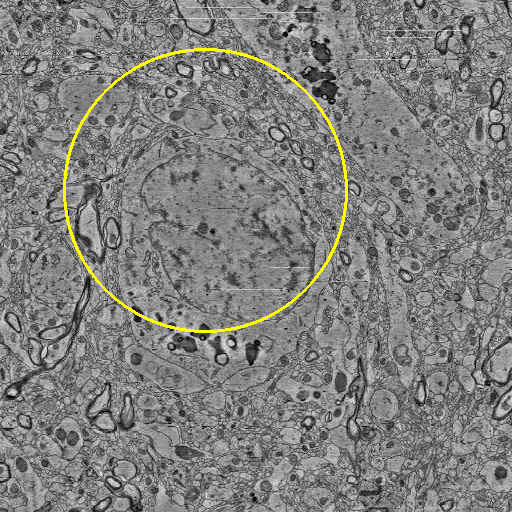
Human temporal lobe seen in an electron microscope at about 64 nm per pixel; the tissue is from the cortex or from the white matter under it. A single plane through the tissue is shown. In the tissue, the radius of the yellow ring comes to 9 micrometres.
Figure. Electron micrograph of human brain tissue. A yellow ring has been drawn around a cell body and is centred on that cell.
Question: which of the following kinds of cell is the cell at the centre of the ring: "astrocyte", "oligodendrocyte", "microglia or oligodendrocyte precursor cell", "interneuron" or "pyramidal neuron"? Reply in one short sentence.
The cell at the centre of the ring is an interneuron.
